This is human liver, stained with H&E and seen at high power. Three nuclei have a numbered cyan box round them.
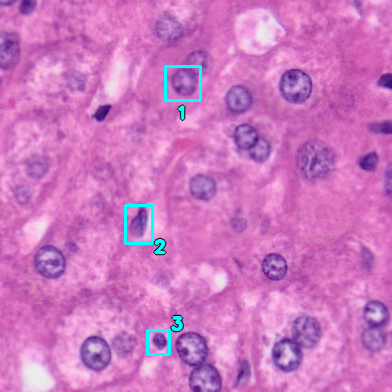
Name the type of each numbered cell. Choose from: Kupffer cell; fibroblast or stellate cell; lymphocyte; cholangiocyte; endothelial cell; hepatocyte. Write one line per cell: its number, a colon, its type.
1: hepatocyte
2: endothelial cell
3: lymphocyte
